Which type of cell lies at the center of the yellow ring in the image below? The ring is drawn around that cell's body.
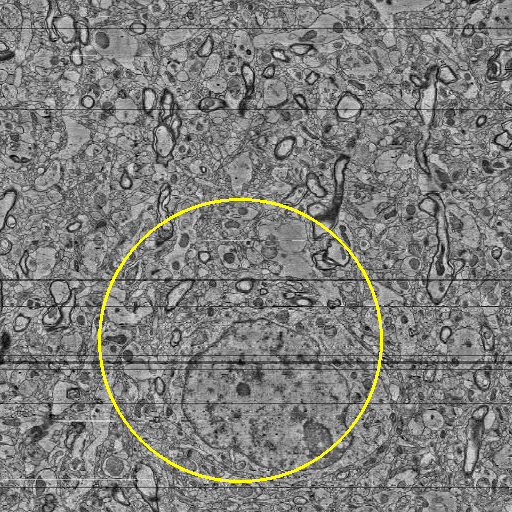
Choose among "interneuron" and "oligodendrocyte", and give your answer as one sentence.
The cell body at the center belongs to an interneuron.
